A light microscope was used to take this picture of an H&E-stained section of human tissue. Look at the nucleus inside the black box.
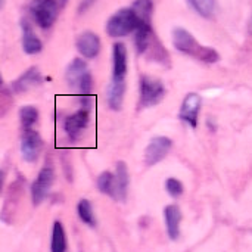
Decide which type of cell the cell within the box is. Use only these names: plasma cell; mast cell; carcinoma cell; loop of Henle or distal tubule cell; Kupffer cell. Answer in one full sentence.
In the context of this tissue, the cell within the box is a plasma cell.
